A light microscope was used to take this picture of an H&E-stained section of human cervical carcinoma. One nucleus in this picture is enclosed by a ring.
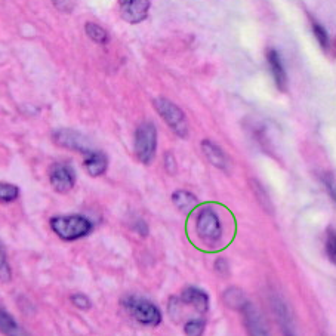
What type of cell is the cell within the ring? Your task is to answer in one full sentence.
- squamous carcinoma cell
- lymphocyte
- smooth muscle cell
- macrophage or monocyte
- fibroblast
Cell type answer for this item: the cell within the ring is a smooth muscle cell.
